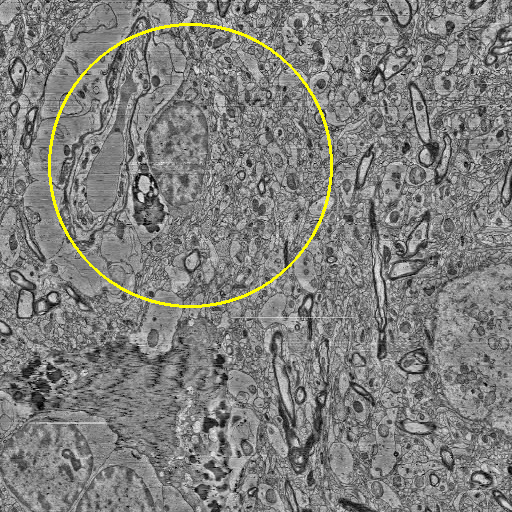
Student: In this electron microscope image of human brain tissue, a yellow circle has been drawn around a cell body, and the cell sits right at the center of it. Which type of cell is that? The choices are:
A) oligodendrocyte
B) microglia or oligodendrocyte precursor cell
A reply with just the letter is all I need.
A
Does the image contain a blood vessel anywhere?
Yes, a blood vessel can be seen.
